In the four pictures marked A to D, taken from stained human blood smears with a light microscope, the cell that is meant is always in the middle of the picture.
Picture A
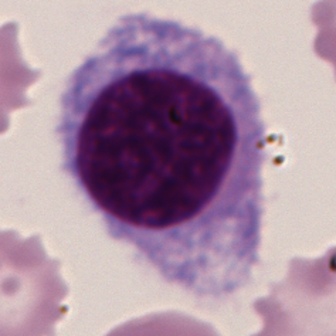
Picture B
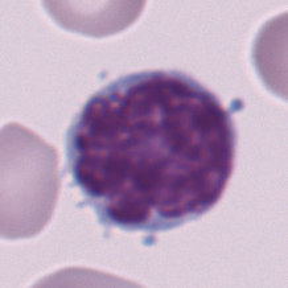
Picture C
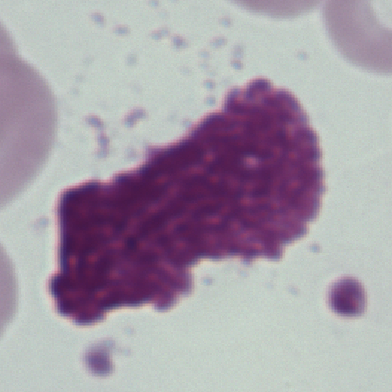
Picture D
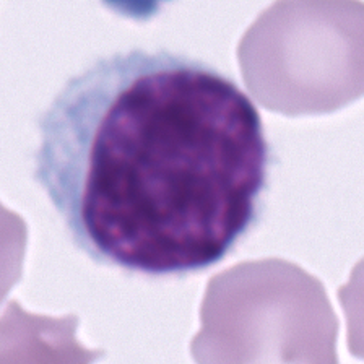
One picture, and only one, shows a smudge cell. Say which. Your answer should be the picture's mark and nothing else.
C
